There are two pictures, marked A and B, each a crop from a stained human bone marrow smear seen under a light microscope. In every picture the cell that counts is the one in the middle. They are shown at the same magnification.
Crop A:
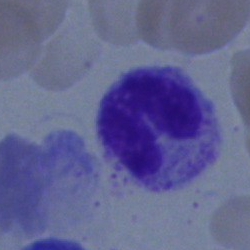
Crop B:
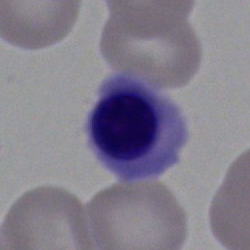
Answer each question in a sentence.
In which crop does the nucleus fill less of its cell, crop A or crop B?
It is the cell in crop B that is filled less by its nucleus.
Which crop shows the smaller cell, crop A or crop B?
Smaller is the cell in crop B, and the other is about 1.5 times as large in area.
